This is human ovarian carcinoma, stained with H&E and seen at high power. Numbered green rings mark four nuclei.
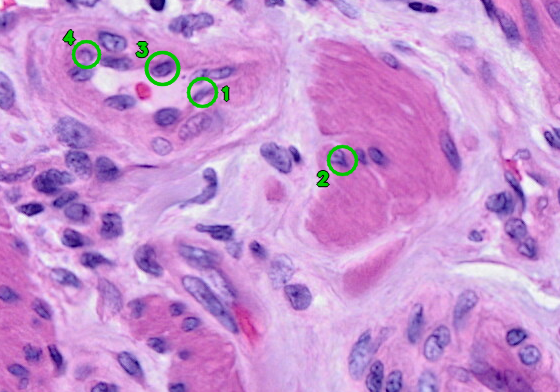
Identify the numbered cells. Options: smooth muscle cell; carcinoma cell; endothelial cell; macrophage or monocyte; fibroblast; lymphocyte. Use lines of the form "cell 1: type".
cell 1: endothelial cell
cell 2: smooth muscle cell
cell 3: endothelial cell
cell 4: endothelial cell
